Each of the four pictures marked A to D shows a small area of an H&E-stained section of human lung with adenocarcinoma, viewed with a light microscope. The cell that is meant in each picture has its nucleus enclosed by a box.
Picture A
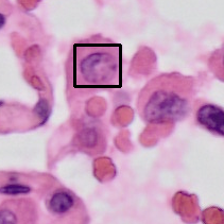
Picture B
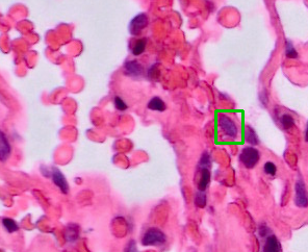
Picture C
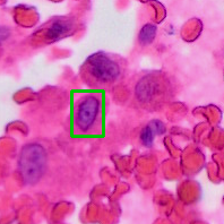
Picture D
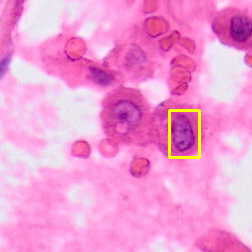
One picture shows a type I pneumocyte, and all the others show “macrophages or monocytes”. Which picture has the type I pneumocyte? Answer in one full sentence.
The picture with the type I pneumocyte is B.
